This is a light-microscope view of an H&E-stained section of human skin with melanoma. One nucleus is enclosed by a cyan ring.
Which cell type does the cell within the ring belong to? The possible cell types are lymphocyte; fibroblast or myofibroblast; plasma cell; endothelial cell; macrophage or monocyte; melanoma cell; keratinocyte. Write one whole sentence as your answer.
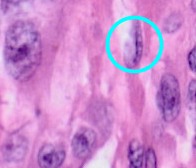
The cell type represented by the cell within the ring is that of an endothelial cell.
